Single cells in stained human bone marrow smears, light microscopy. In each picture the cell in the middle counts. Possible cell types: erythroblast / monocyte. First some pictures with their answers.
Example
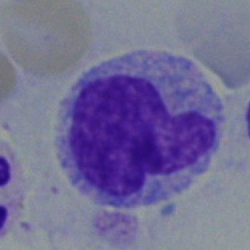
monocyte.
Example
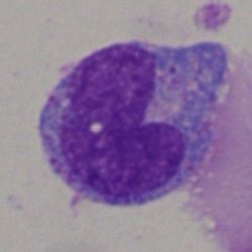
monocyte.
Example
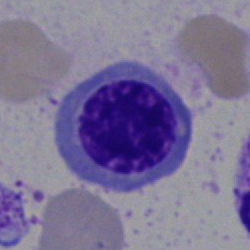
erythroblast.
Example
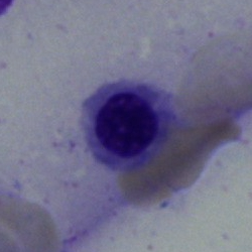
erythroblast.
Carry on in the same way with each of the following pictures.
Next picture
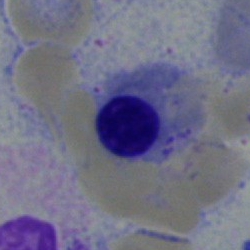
erythroblast.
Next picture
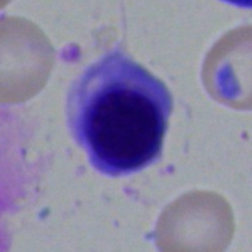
erythroblast.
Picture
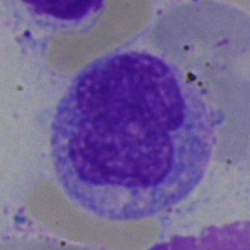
monocyte.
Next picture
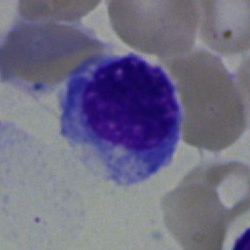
erythroblast.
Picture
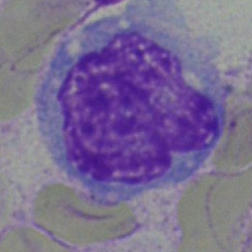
monocyte.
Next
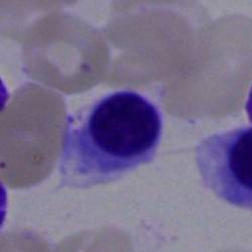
erythroblast.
